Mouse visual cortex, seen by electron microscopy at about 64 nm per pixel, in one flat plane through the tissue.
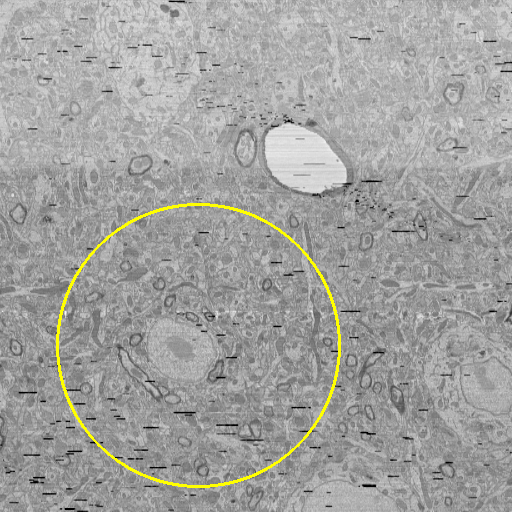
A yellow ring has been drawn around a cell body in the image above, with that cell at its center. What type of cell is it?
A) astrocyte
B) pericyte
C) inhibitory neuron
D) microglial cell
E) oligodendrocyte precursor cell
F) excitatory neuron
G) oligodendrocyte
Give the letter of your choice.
E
